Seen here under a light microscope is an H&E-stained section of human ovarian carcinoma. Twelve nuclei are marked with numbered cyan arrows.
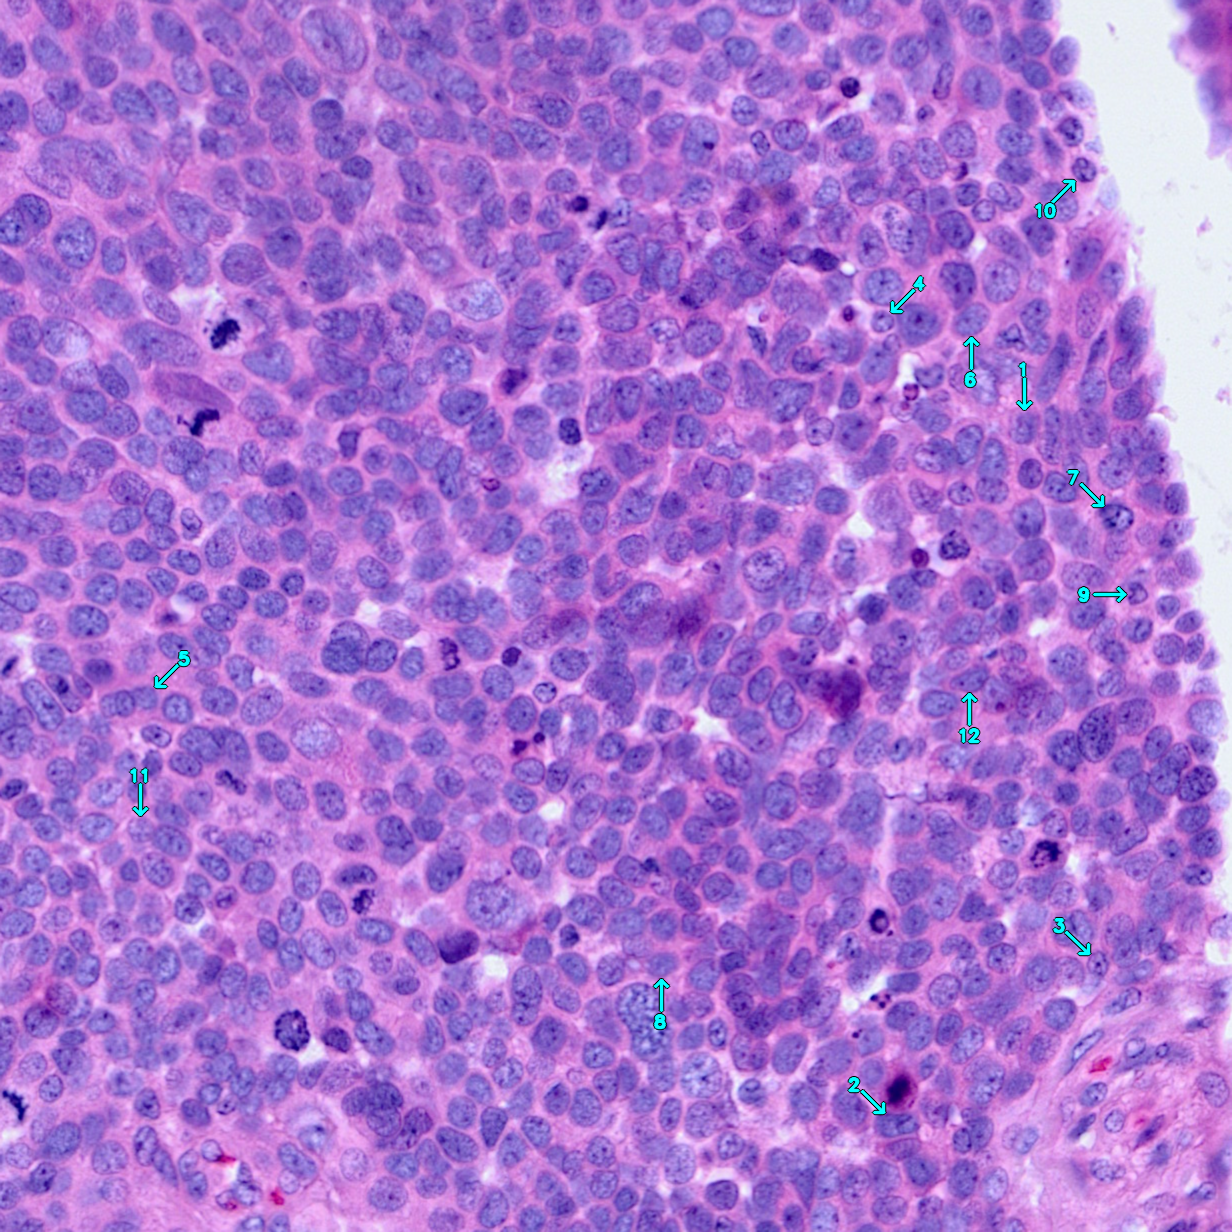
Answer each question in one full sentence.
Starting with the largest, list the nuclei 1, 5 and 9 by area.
Going from the biggest nucleus down to the smallest gives 1, 5, 9.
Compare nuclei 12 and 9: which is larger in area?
The larger nucleus is 12, at roughly 2 times the area of 9.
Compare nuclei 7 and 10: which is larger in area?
It is nucleus 7, which covers about 1.5 times the area of nucleus 10.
